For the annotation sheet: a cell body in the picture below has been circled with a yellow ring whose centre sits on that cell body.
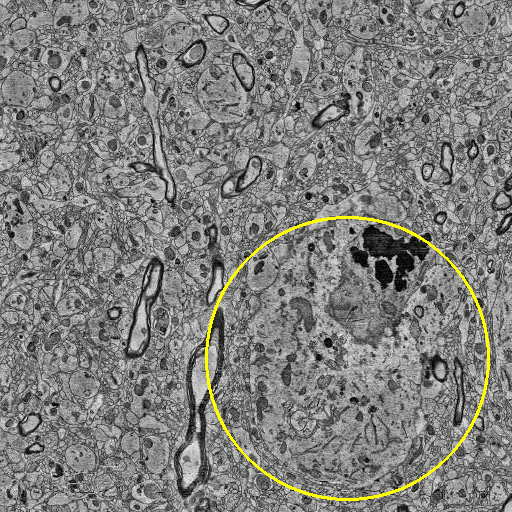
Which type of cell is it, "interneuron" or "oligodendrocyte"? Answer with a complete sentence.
The circled cell is an oligodendrocyte.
